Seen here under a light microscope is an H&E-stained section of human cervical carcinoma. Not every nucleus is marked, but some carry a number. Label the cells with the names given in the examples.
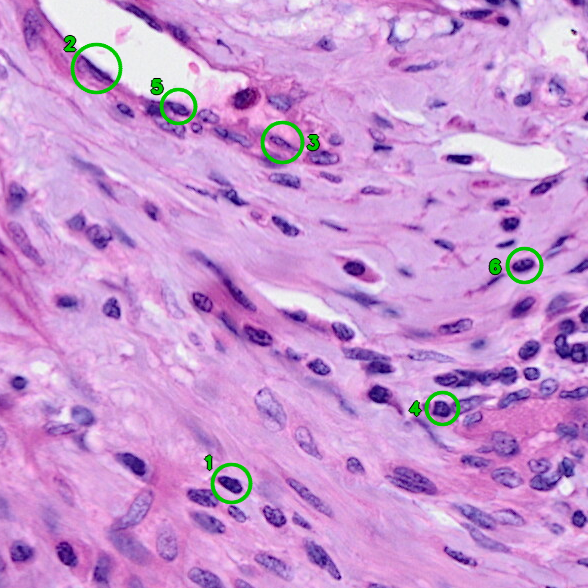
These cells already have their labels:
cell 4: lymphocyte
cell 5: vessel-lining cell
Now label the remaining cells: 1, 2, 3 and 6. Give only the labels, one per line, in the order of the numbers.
lymphocyte
vessel-lining cell
vessel-lining cell
lymphocyte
